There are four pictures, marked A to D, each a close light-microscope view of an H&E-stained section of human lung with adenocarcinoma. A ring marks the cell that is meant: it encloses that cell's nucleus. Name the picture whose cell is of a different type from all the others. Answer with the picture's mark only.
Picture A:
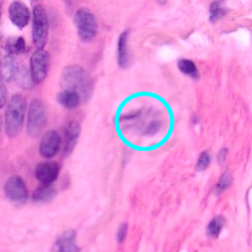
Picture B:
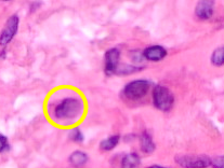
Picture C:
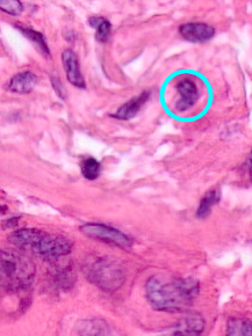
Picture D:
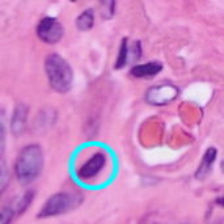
A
